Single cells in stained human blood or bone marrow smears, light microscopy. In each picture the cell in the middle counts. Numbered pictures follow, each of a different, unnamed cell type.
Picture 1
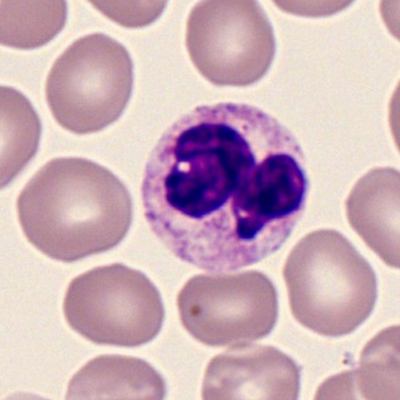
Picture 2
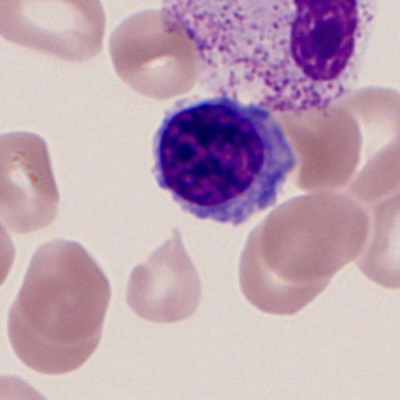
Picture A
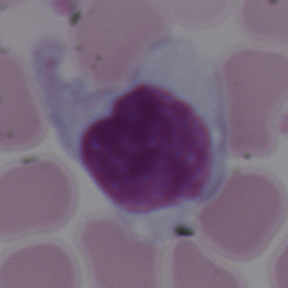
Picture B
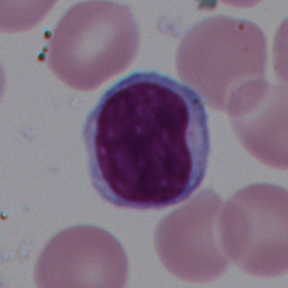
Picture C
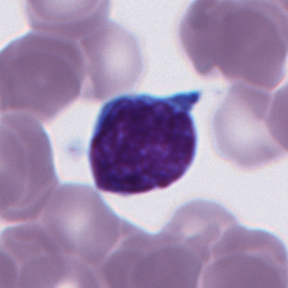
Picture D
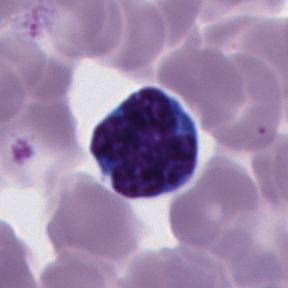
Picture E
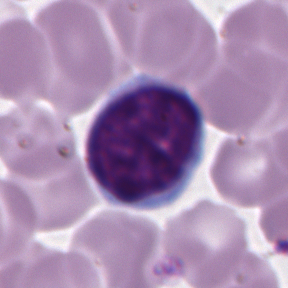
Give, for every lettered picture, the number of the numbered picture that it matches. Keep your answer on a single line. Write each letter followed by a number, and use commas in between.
A 2, B 2, C 2, D 2, E 2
